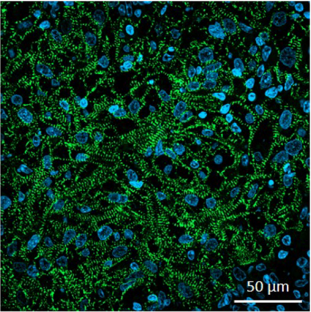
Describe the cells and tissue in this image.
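The striated rows run in many different directions rather than in one parallel alignment. Numerous oval blue nuclei lie scattered closely among the cells.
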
